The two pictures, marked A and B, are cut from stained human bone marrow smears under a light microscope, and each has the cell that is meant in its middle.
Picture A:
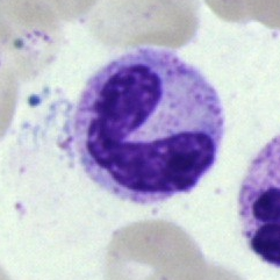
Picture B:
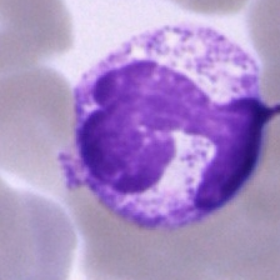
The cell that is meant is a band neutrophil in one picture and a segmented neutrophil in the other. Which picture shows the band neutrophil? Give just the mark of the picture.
A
